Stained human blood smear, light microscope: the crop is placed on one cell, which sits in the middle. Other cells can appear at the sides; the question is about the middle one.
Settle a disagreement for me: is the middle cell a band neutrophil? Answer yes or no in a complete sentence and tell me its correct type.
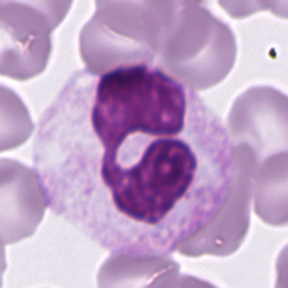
No, in the centre of the crop lies a segmented neutrophil, not a band neutrophil.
